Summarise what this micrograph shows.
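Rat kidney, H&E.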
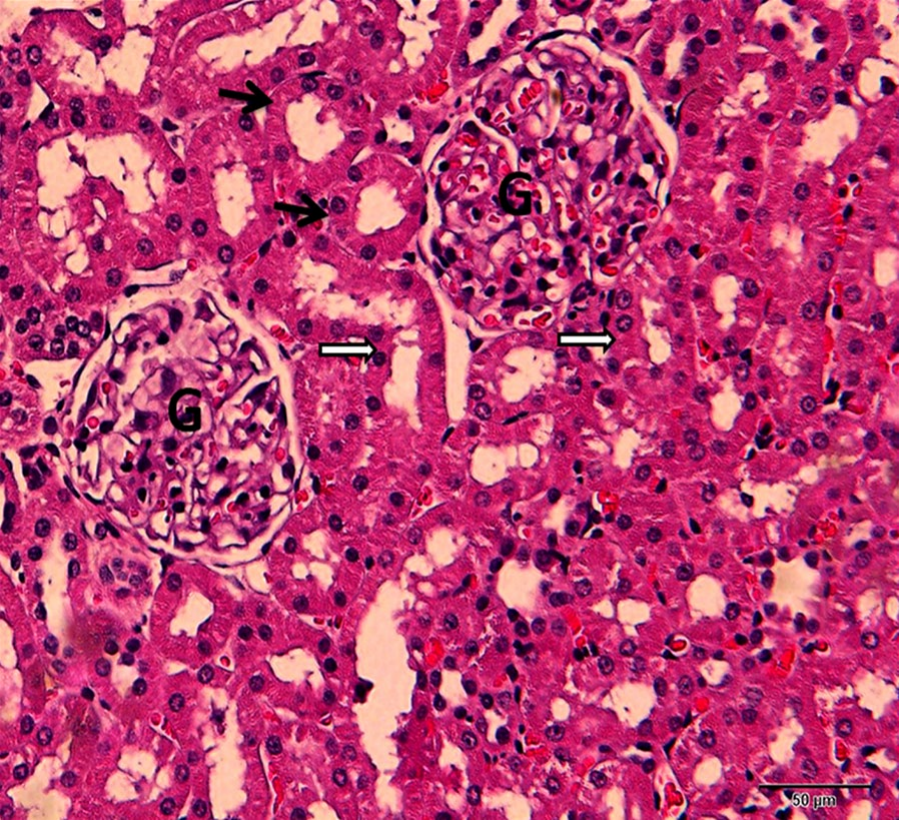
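Renal cortex with two glomeruli, each a rounded tuft of capillary loops with many dark nuclei and red blood cells, surrounded by a clear space and a thin capsule. Around them lie numerous convoluted tubules in cross-section, lined by cuboidal cells with pink cytoplasm and round, dark nuclei, many set centrally or toward the base of the cells. The tubule lumens are irregular, some containing pale fluffy material, and small capillaries with red blood cells run between the tubules.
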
